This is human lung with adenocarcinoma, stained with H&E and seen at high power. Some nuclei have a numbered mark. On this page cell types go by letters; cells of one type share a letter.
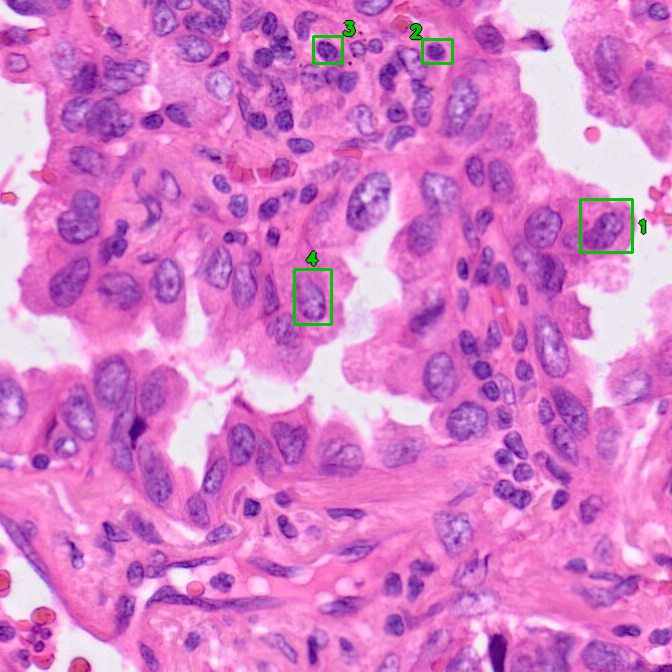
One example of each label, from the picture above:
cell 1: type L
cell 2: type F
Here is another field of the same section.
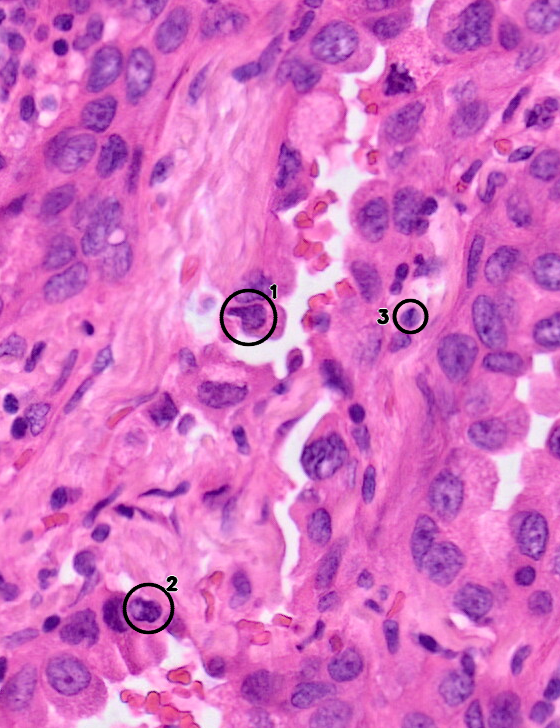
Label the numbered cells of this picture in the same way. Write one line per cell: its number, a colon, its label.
1: type L
2: type L
3: type F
